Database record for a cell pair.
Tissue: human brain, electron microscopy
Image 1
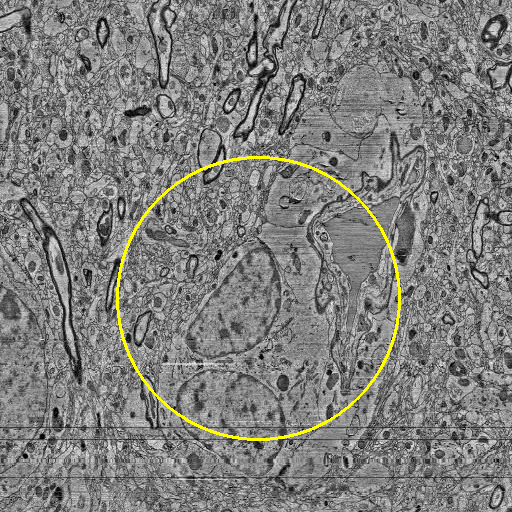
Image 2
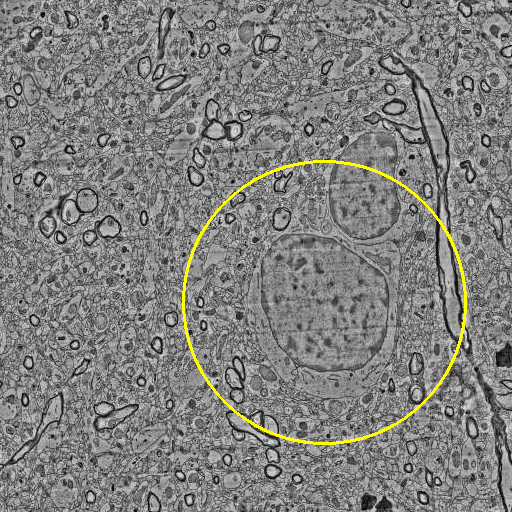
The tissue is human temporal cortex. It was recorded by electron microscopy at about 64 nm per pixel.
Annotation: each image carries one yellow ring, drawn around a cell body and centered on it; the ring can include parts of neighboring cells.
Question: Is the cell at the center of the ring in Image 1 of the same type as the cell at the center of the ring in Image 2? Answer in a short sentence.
Yes, the cells are of the same type.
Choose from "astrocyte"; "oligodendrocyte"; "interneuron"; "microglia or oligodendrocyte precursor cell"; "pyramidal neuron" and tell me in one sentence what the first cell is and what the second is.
The ring centre holds a microglial cell or oligodendrocyte precursor cell in each of the two pictures.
